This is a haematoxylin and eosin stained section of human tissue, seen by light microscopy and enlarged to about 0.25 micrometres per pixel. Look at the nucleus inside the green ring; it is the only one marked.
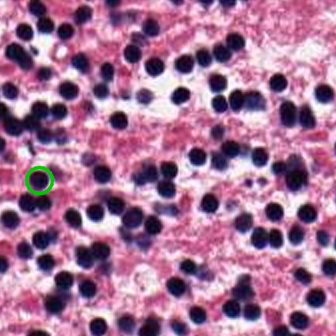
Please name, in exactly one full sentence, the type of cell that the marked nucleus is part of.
In the section shown, the marked nucleus belongs to a cerebellar granule cell.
